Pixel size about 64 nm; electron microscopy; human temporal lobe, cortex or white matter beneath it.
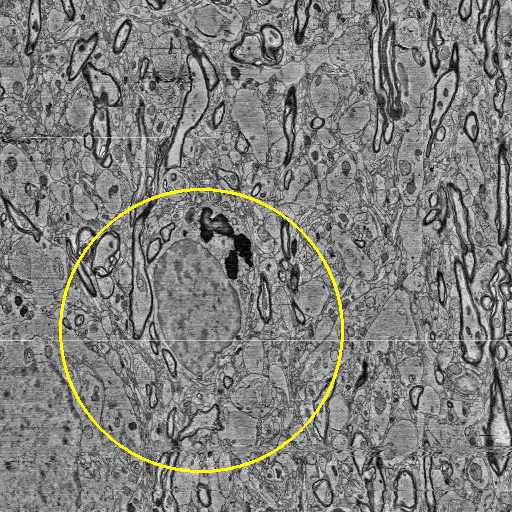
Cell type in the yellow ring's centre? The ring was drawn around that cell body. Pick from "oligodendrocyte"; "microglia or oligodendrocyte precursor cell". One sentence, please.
The ringed cell body is that of an oligodendrocyte.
